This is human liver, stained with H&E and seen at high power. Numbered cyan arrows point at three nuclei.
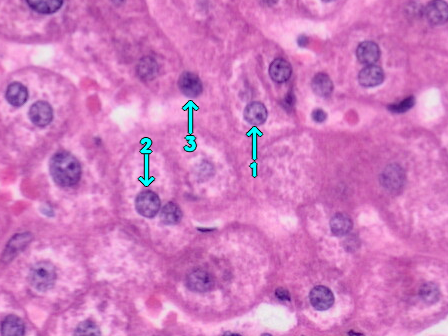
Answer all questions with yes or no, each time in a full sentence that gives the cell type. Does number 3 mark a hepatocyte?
No, a hepatocyte is not what cell 3 is; it is an endothelial cell.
